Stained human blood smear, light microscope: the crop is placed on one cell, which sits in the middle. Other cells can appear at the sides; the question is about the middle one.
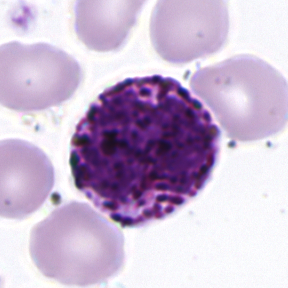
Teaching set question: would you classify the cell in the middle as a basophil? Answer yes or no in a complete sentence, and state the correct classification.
Yes, what sits in the centre of the crop is a basophil.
